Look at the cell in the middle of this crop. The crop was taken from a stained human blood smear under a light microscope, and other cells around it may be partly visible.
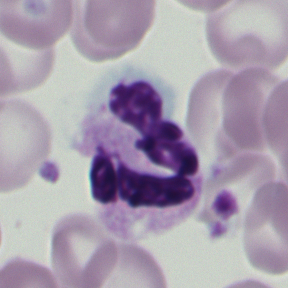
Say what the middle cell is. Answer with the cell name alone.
segmented neutrophil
